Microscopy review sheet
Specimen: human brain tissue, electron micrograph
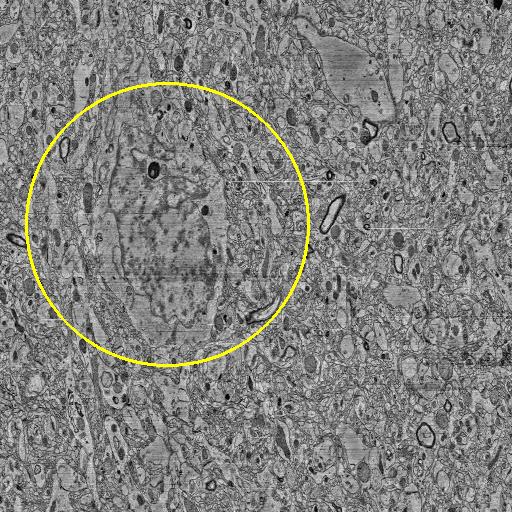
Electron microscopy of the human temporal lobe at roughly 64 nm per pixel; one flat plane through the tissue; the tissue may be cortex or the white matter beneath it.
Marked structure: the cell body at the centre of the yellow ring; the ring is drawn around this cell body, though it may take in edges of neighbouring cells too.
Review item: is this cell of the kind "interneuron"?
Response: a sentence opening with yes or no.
Yes, this cell is of that kind.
